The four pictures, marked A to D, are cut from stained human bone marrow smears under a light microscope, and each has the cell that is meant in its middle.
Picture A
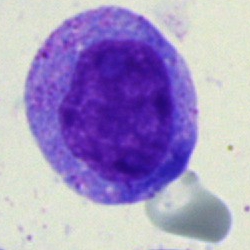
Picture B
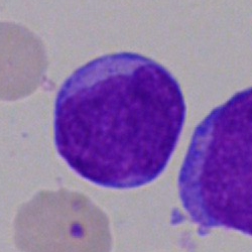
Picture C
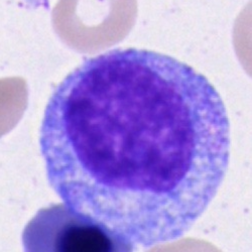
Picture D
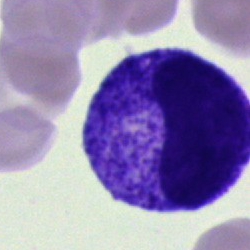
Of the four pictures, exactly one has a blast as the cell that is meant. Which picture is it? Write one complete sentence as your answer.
The blast is the one in picture B.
